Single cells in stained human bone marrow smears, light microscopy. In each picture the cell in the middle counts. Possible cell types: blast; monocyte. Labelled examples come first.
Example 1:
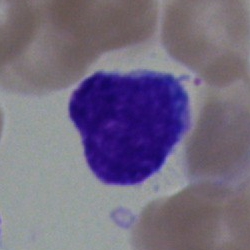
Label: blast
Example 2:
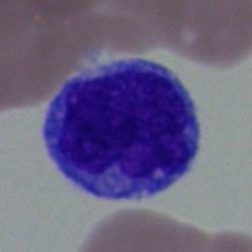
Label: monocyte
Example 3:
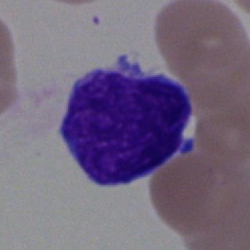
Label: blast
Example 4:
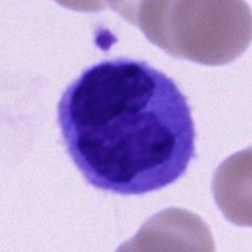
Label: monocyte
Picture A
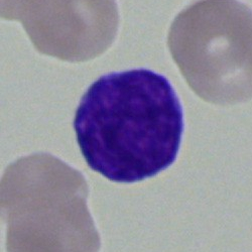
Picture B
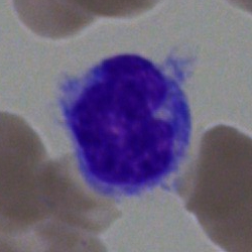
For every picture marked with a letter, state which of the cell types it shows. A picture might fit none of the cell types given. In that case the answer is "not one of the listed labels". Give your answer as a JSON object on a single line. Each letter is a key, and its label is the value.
{"A": "blast", "B": "monocyte"}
